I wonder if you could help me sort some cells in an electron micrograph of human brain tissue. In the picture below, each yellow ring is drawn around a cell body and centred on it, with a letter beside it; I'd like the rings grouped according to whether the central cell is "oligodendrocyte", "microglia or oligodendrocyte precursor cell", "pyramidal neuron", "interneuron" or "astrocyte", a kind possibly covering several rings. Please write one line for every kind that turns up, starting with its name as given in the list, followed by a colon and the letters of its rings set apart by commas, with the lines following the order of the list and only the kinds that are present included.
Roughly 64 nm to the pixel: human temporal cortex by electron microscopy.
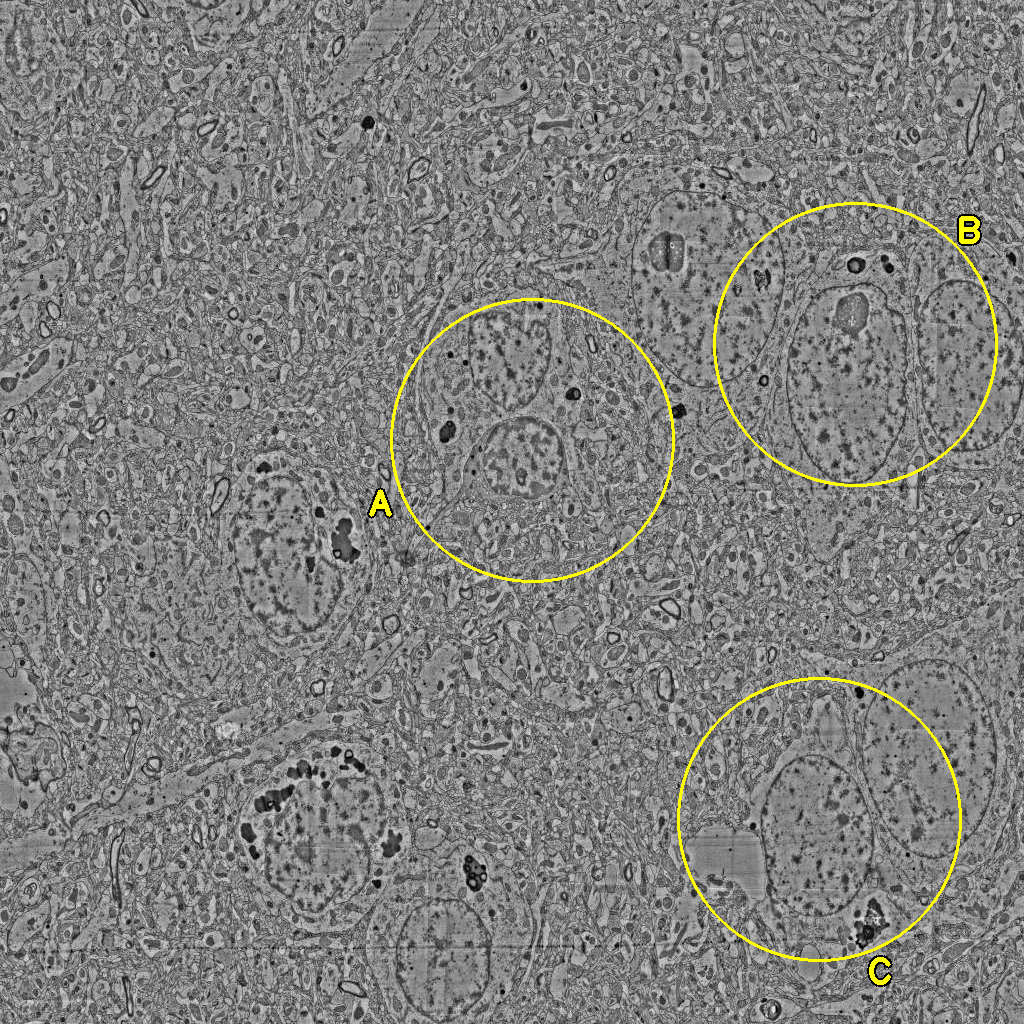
oligodendrocyte: A
pyramidal neuron: B
astrocyte: C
